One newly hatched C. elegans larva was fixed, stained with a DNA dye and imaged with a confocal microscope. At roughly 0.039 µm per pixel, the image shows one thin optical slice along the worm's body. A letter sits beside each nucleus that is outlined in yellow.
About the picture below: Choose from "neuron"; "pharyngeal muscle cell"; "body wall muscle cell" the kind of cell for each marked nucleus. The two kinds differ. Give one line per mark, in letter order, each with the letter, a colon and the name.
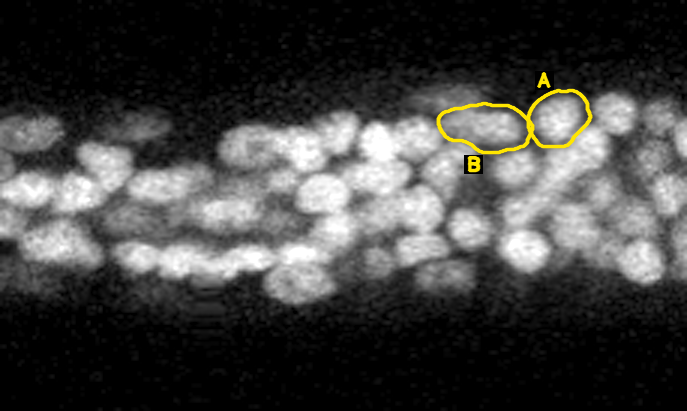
A: neuron
B: body wall muscle cell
